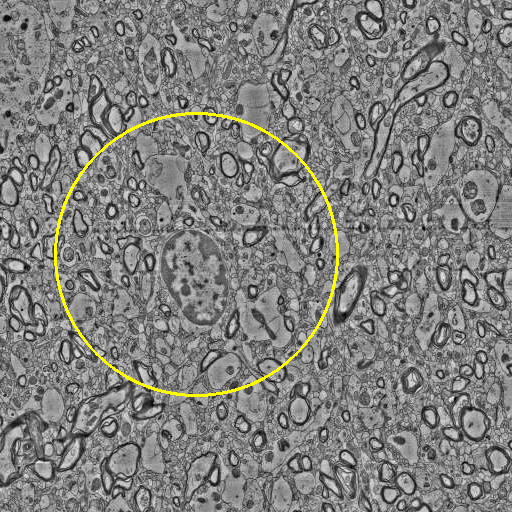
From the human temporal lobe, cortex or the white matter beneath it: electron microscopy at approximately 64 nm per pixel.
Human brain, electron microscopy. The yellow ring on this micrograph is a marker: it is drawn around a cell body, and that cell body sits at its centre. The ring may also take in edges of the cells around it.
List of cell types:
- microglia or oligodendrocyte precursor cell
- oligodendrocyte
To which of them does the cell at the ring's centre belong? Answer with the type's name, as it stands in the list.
microglia or oligodendrocyte precursor cell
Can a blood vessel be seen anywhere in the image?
No, none appears.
